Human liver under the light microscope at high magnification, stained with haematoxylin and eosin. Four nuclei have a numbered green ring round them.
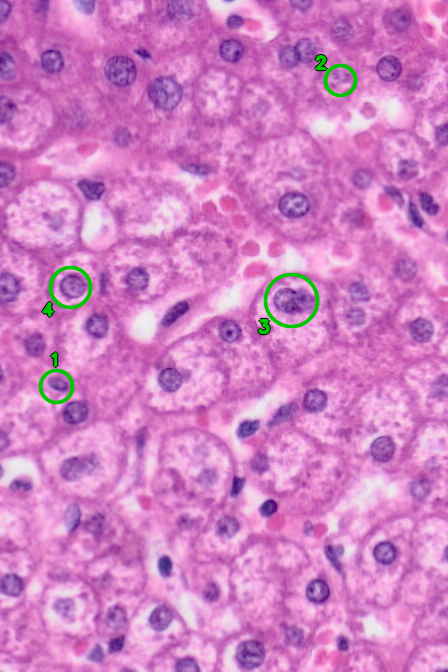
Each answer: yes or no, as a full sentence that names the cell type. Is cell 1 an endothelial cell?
Yes, the cell that goes by number 1 is an endothelial cell.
